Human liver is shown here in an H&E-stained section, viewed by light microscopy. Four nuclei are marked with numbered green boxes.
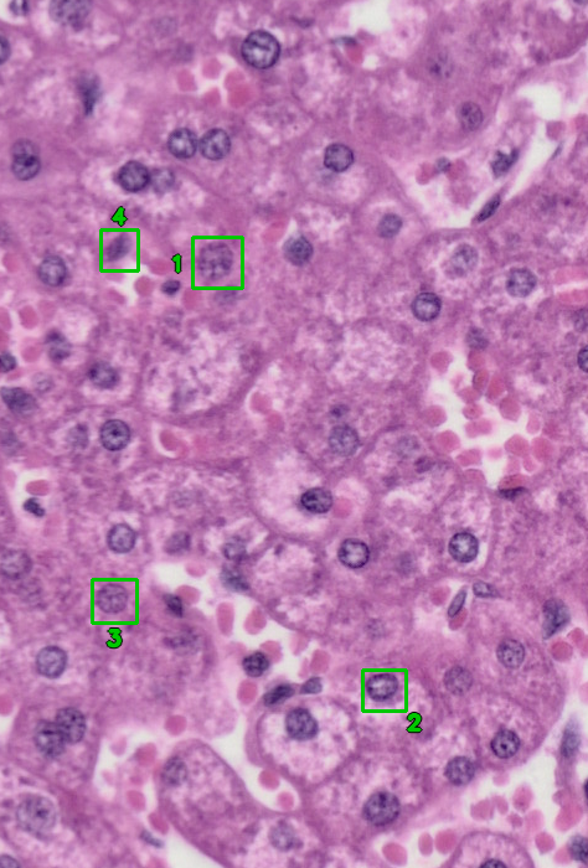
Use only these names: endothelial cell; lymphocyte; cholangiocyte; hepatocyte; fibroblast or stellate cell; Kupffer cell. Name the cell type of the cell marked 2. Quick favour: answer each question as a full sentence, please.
In this section, the cell tagged 2 is a hepatocyte.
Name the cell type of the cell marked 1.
The nucleus labelled 1 belongs to a hepatocyte.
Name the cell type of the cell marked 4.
Here, the cell given the number 4 is an endothelial cell.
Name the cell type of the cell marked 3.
As for number 3, that cell is a hepatocyte.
